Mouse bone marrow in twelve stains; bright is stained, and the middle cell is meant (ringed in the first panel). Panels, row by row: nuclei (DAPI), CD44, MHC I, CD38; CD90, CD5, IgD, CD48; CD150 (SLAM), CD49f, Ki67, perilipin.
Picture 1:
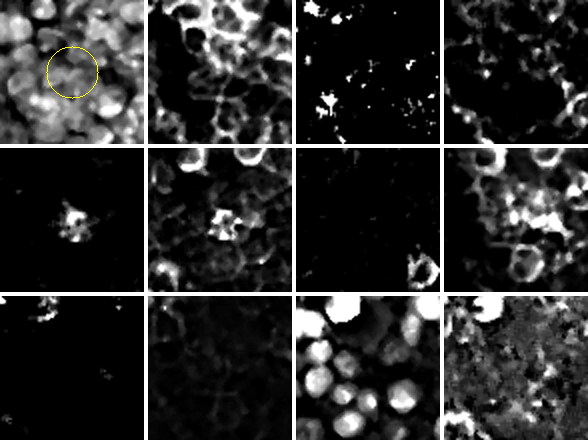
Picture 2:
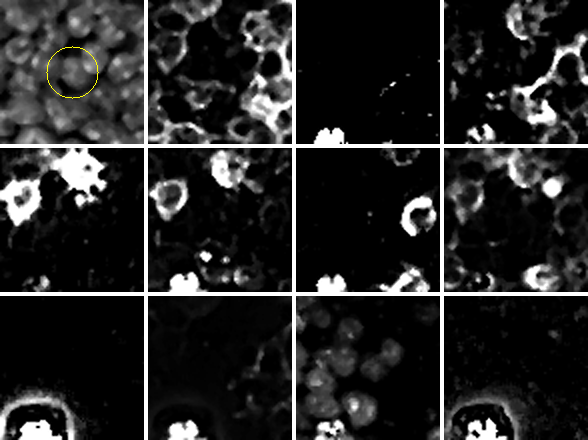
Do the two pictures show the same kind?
No: a T cell, then an erythroblast.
